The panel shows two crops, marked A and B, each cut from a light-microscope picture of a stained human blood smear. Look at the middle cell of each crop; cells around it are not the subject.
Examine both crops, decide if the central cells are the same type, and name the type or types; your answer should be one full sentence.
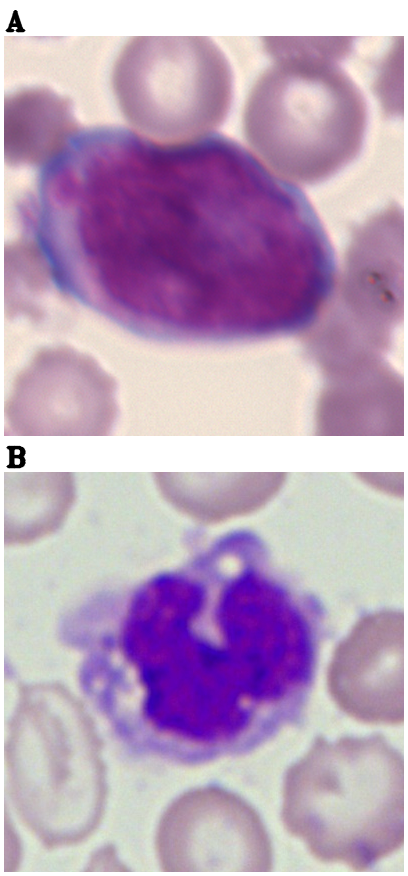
No, a blast is centred in crop A, and a monocyte is centred in crop B.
